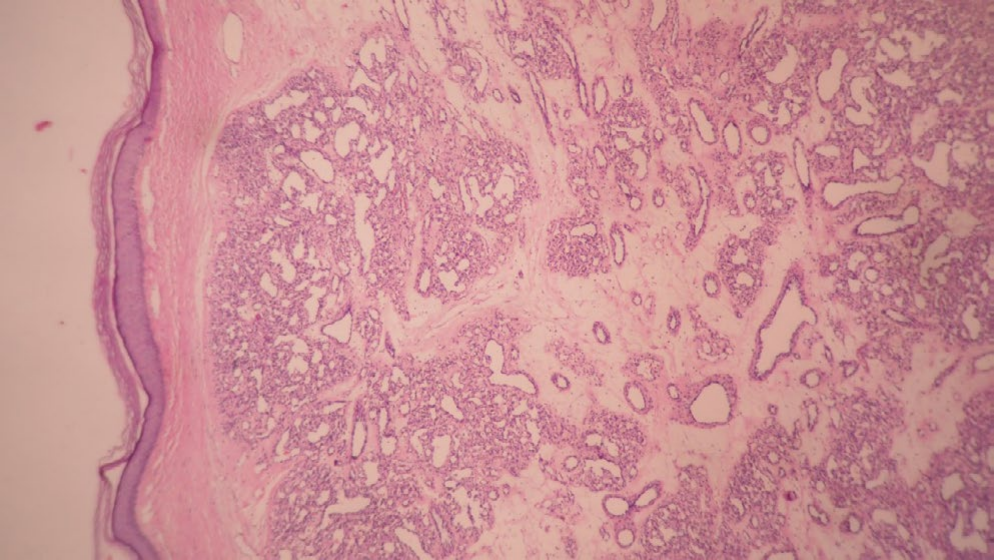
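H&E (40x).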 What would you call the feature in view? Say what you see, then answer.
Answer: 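Numerous small open vascular lumens lined by thin walls are scattered through the tissue. The lumens range from tiny round slits to larger, irregular, branching spaces. The small vessels are packed into cellular lobules.
Answer: small capillaries with variable luminal diameters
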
